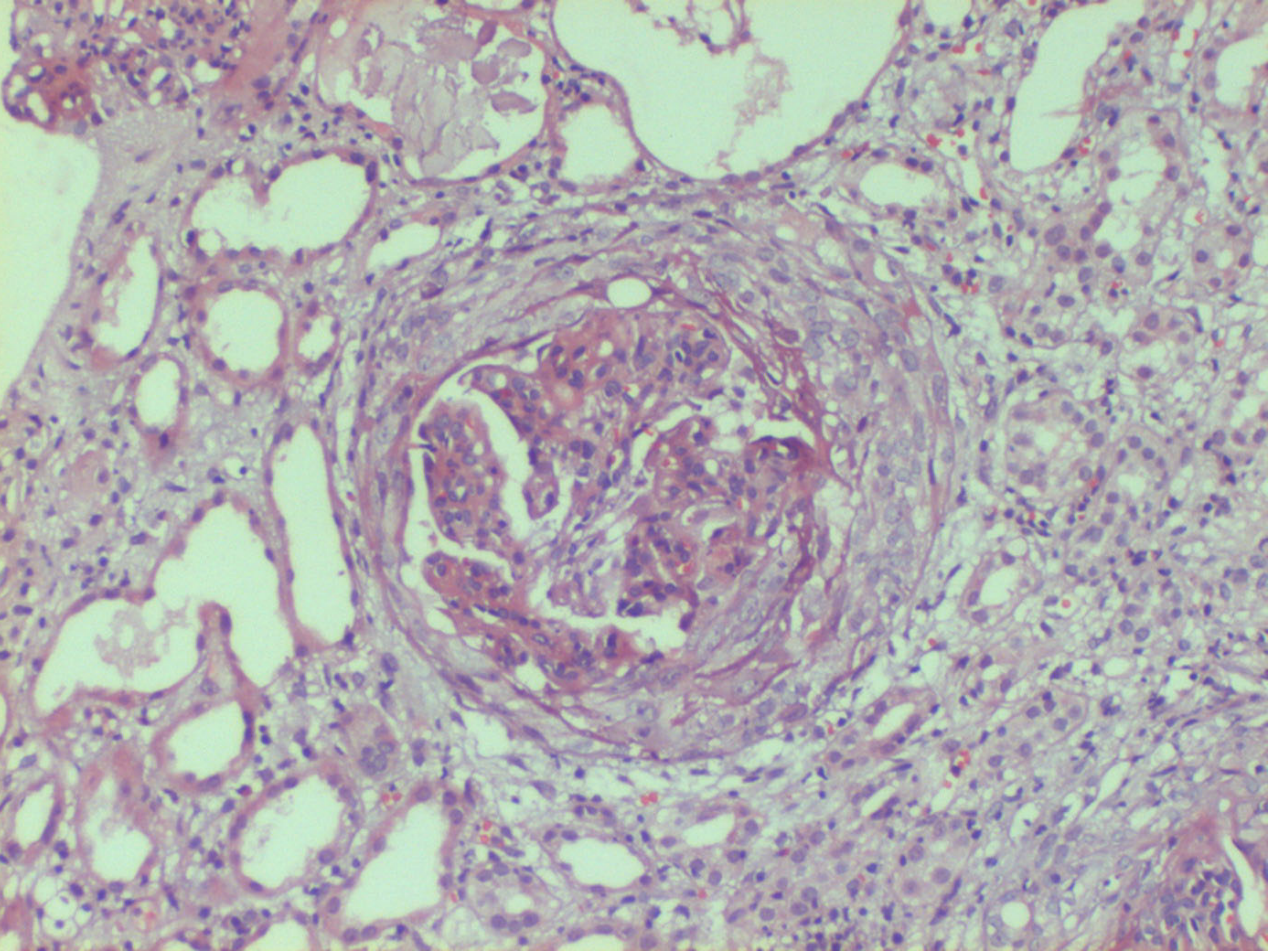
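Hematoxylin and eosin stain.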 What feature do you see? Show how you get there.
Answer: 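A rounded lobulated tuft of capillary loops sits in a space at the centre. The tuft is enclosed by a capsule-like ring of cells. So: glomerulus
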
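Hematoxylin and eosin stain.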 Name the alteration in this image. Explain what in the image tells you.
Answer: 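Several layers of spindle to plump cells form a concentric ring around the whole central tuft. The ring runs around the full circumference of the tuft. The ring is cellular rather than pale acellular fibrous tissue.
Hence: circumferential cellular crescent.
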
